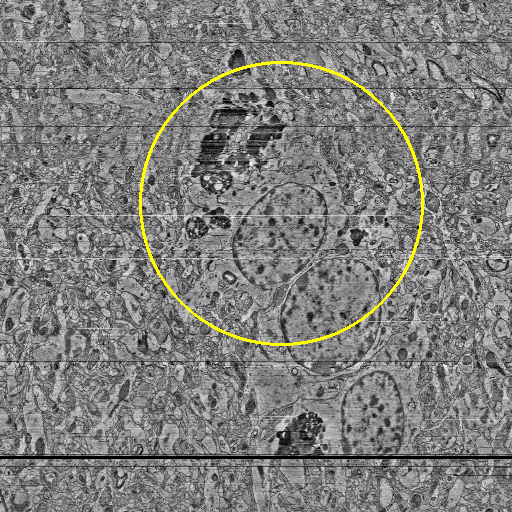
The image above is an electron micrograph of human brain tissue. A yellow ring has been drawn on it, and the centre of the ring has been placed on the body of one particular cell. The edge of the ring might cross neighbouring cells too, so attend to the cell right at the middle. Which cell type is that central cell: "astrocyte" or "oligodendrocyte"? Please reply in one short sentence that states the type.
The central cell in the ring is an astrocyte.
